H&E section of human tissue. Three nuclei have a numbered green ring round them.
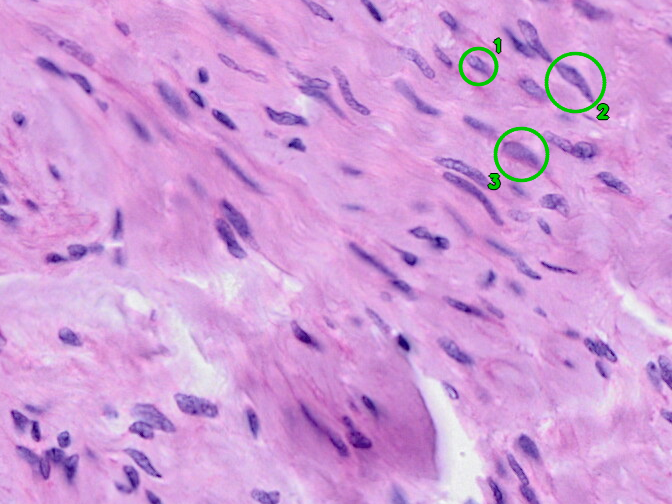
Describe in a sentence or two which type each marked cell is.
Cell 1 is a smooth muscle cell, cell 2 is a fibroblast and cell 3 is a smooth muscle cell.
